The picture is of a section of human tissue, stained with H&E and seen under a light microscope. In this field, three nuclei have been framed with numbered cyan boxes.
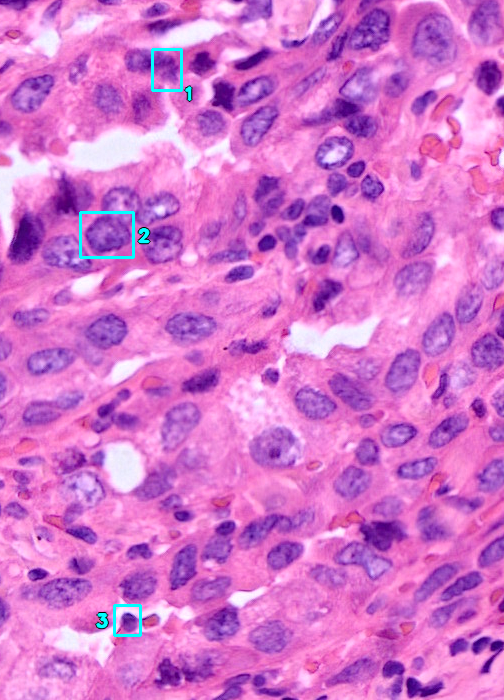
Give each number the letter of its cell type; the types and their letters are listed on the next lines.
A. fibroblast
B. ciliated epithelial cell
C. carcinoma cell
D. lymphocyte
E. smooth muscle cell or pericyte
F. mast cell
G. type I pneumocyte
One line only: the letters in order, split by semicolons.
C; C; D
